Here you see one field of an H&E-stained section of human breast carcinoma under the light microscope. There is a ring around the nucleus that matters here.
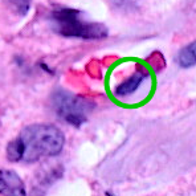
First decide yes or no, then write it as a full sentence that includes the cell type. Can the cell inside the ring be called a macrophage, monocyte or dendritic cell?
No, the cell inside the ring is an endothelial cell; calling it a macrophage, monocyte or dendritic cell would be wrong.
